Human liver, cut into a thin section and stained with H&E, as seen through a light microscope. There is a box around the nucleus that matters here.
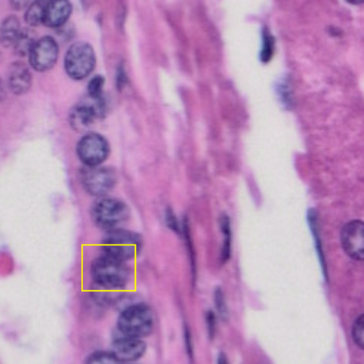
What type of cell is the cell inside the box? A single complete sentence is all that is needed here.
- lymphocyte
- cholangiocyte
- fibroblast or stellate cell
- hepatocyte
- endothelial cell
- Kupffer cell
It is as a cholangiocyte that the cell inside the box is classified.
